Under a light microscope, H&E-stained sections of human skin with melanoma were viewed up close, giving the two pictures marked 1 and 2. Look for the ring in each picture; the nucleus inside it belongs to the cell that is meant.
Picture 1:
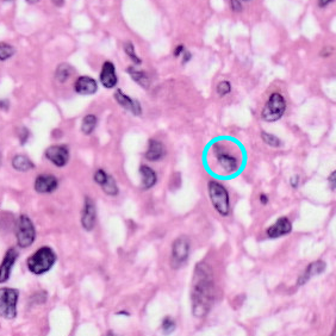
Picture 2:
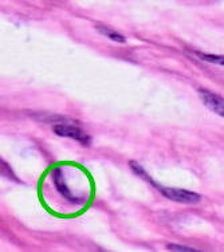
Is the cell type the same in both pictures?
no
